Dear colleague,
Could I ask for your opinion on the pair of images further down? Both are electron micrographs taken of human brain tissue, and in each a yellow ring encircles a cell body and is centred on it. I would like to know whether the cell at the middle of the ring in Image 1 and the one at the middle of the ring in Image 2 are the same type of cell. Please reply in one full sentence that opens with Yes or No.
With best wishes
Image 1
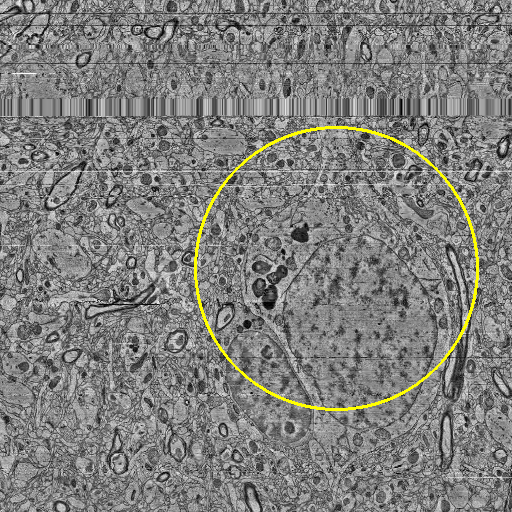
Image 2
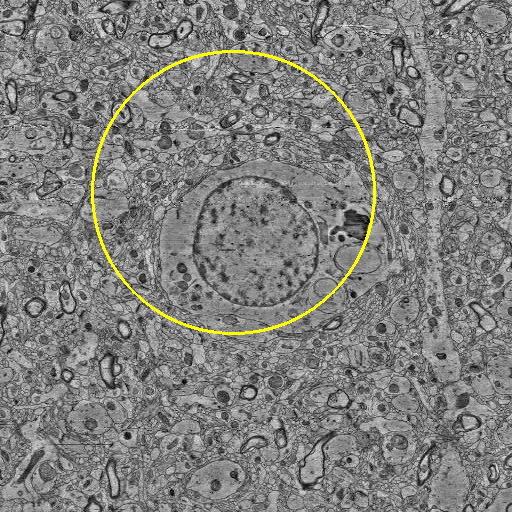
No, the cells at the ring centres in Image 1 and Image 2 are of two types.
